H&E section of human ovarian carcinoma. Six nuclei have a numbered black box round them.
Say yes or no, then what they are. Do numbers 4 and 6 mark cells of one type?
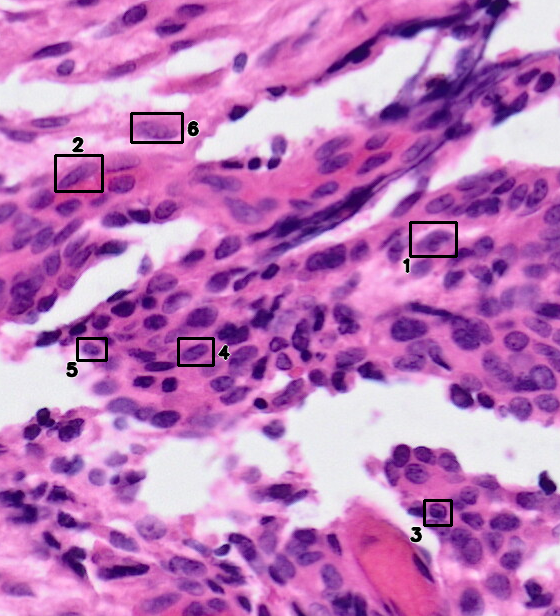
No, cell 4 is a carcinoma cell and cell 6 is a fibroblast.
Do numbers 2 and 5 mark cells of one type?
No, cell 2 is an endothelial cell and cell 5 is a macrophage or monocyte.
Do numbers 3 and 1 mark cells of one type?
No, cell 3 is a macrophage or monocyte and cell 1 is a carcinoma cell.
